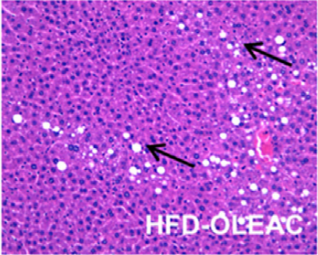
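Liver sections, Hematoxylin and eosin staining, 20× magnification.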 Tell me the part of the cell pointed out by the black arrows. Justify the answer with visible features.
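The arrows point at these round clear spaces. Most of the surrounding cells have solid pink cytoplasm without such spaces.
Conclusion: fat vacuoles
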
